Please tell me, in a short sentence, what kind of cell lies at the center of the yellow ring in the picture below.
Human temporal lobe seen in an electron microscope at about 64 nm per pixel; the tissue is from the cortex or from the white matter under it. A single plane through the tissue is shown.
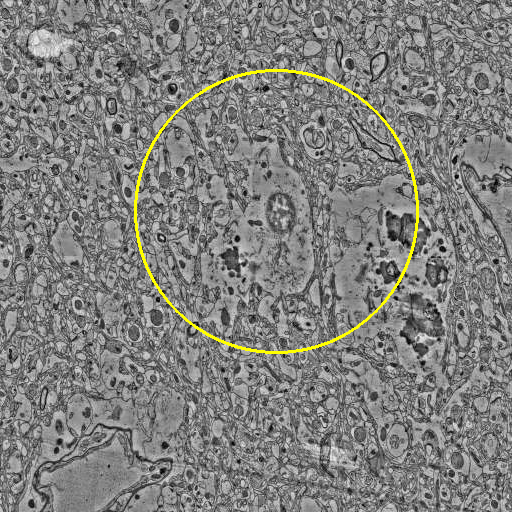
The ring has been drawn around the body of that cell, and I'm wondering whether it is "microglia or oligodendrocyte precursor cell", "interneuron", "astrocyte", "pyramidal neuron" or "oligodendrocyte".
The cell at the center of the ring is an astrocyte.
